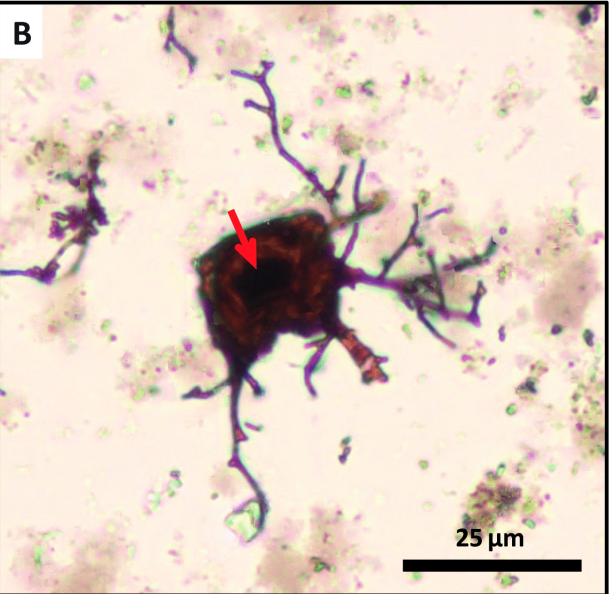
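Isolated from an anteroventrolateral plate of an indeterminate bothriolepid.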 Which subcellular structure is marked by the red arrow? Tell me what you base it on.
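The red arrow points to a blackish area in the middle of a reddish-brown body. Branching processes leave the body in several directions.
Answer: dark center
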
